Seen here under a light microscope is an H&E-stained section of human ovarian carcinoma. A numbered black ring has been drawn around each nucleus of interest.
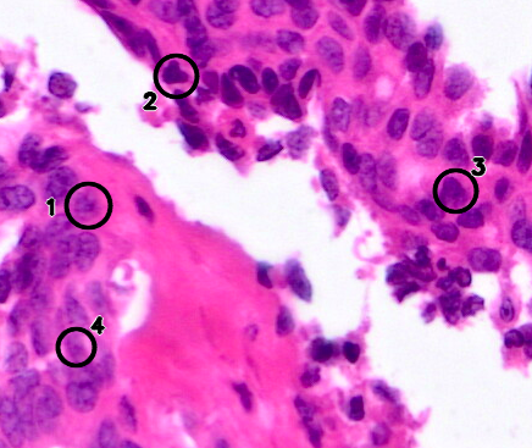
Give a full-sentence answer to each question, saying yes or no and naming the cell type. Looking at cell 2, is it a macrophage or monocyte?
Yes, the cell distinguished by number 2 is a macrophage or monocyte.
